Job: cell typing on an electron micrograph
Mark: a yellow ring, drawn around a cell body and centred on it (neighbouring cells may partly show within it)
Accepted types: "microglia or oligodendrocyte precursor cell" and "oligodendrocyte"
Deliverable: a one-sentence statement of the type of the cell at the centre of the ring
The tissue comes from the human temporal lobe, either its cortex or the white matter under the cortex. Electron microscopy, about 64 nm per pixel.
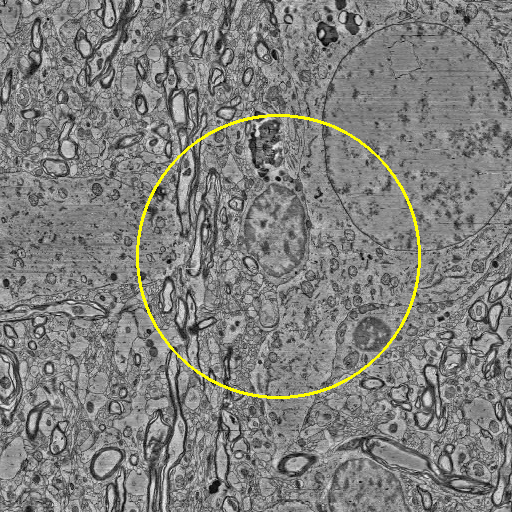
The centred cell body is that of an oligodendrocyte.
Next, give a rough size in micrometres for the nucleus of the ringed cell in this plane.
Approximately 6 micrometres long and 4 micrometres wide, in this plane.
